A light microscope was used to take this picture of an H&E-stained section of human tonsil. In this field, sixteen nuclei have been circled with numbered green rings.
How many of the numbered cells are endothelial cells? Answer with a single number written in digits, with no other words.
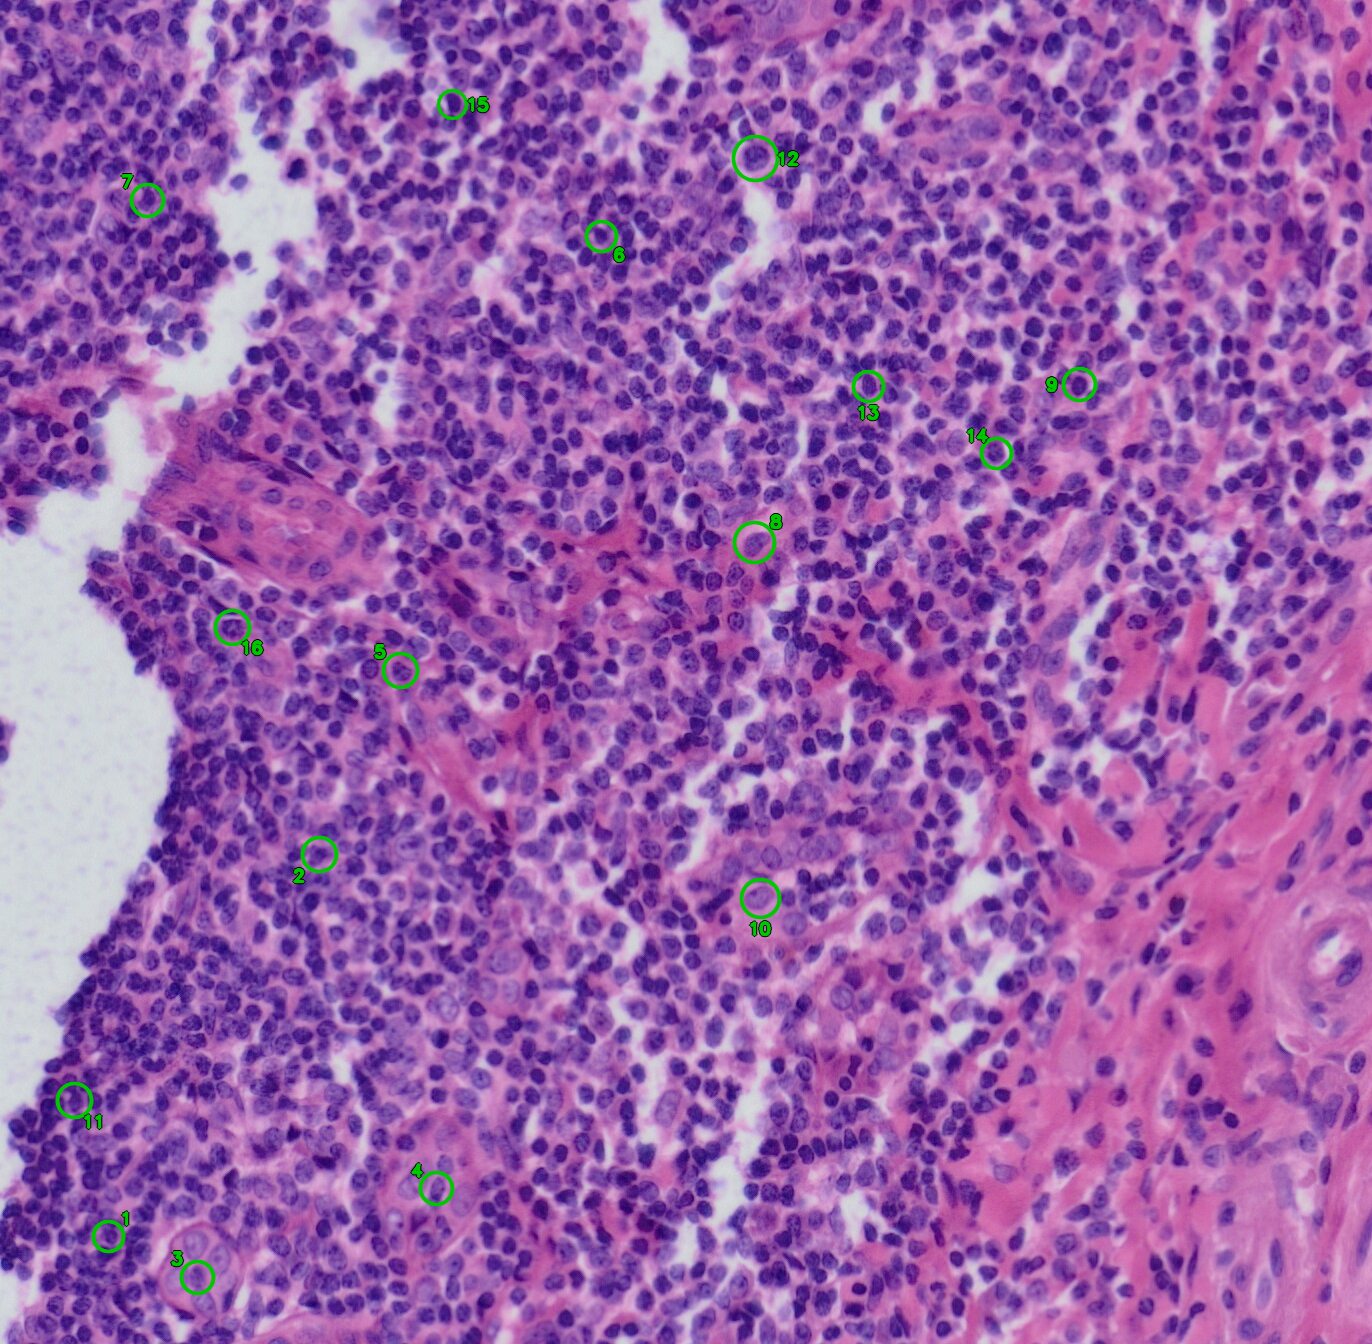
4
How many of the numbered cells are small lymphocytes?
7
